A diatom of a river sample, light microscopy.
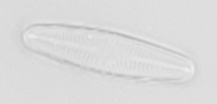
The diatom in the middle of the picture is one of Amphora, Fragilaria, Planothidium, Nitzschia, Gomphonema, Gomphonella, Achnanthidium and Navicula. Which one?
Achnanthidium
